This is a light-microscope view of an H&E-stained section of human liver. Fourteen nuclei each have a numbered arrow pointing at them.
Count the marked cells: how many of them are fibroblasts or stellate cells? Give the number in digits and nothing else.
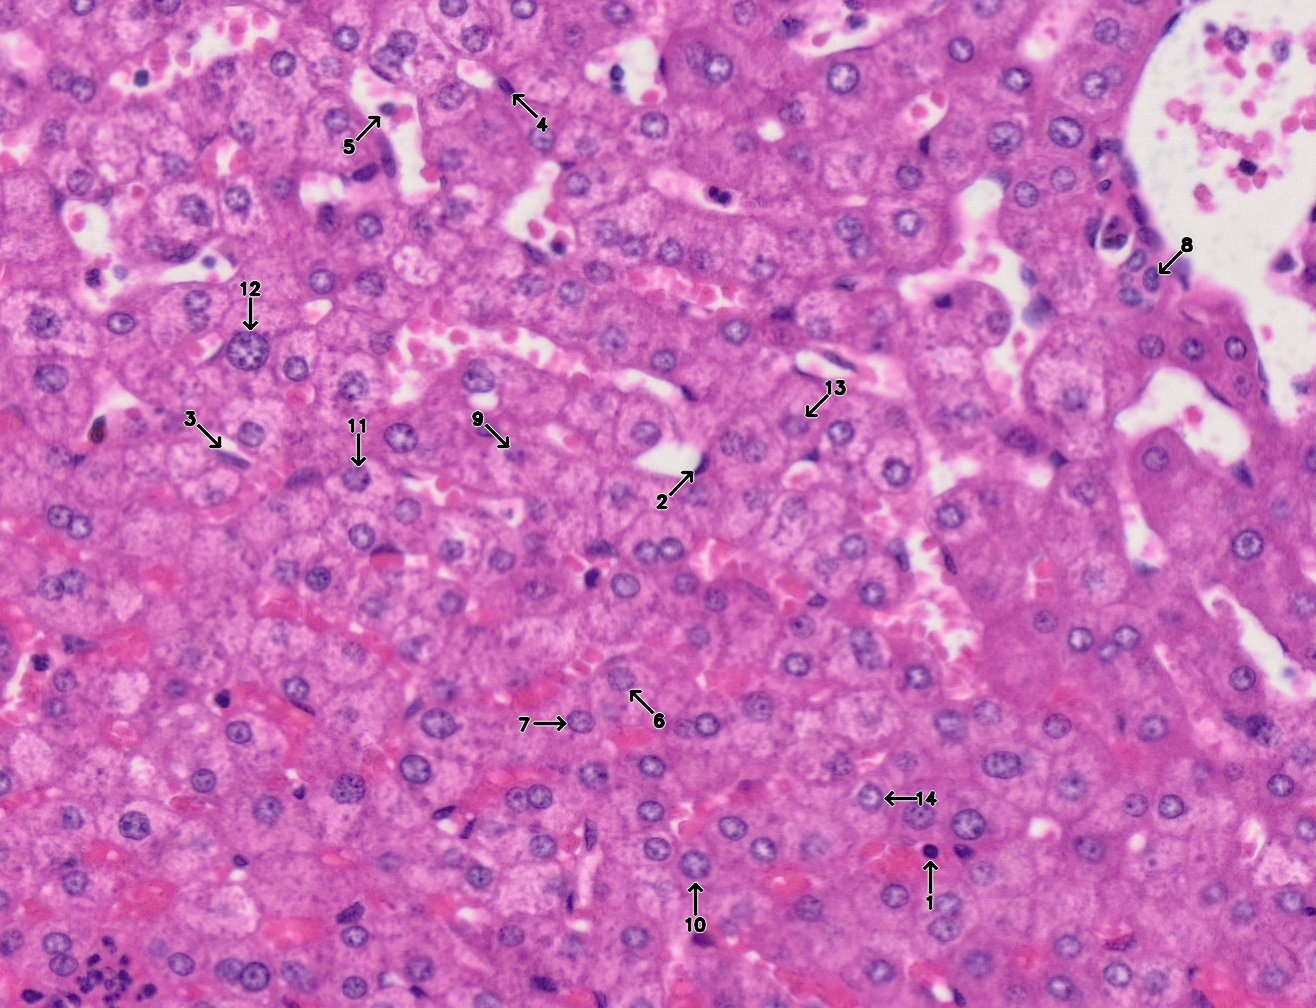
1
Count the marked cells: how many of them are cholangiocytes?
1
